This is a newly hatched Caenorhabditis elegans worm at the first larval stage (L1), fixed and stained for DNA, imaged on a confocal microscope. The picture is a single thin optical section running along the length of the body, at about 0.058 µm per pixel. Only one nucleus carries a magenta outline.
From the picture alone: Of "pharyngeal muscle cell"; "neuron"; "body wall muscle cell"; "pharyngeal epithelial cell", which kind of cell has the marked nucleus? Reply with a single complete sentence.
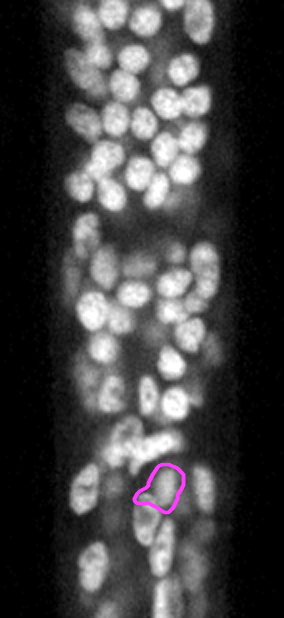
This is the nucleus of a neuron.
